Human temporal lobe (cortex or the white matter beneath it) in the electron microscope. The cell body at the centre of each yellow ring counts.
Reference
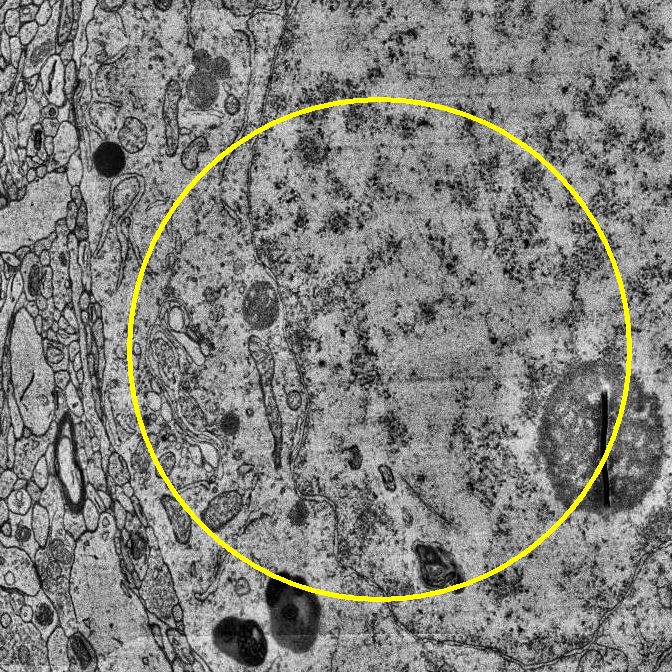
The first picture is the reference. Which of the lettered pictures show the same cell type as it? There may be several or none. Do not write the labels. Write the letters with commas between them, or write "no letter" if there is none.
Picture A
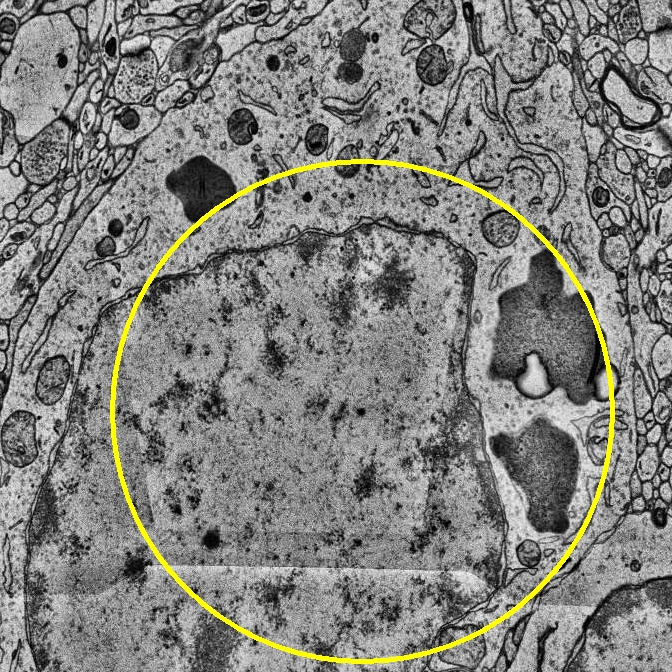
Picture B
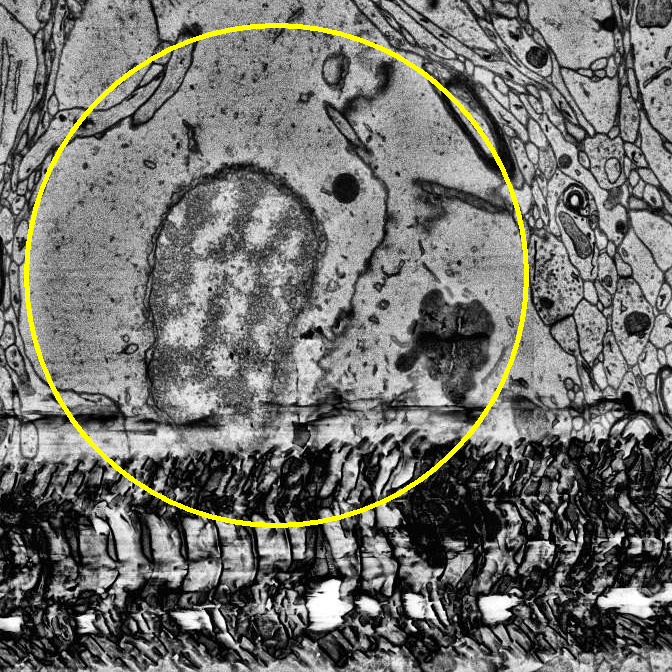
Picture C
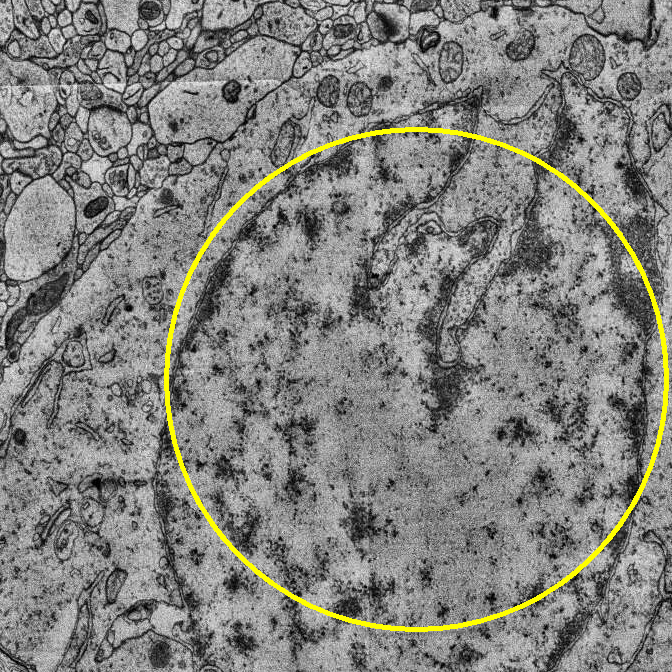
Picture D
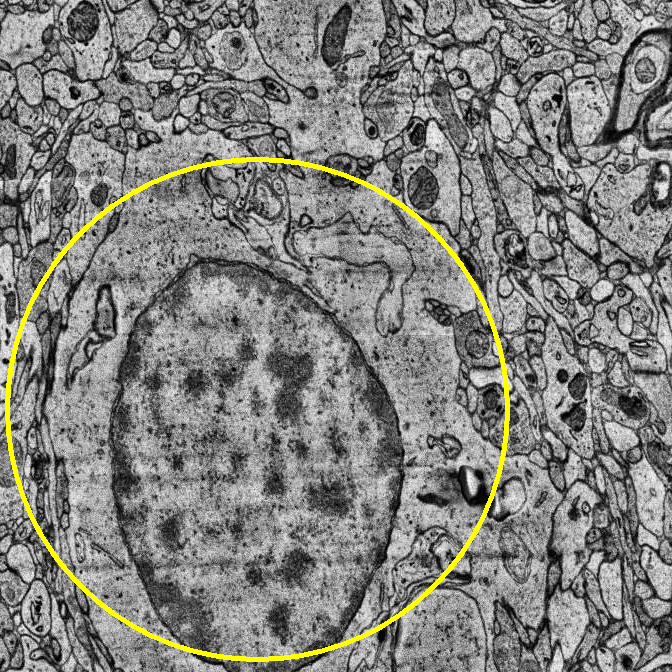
A, C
